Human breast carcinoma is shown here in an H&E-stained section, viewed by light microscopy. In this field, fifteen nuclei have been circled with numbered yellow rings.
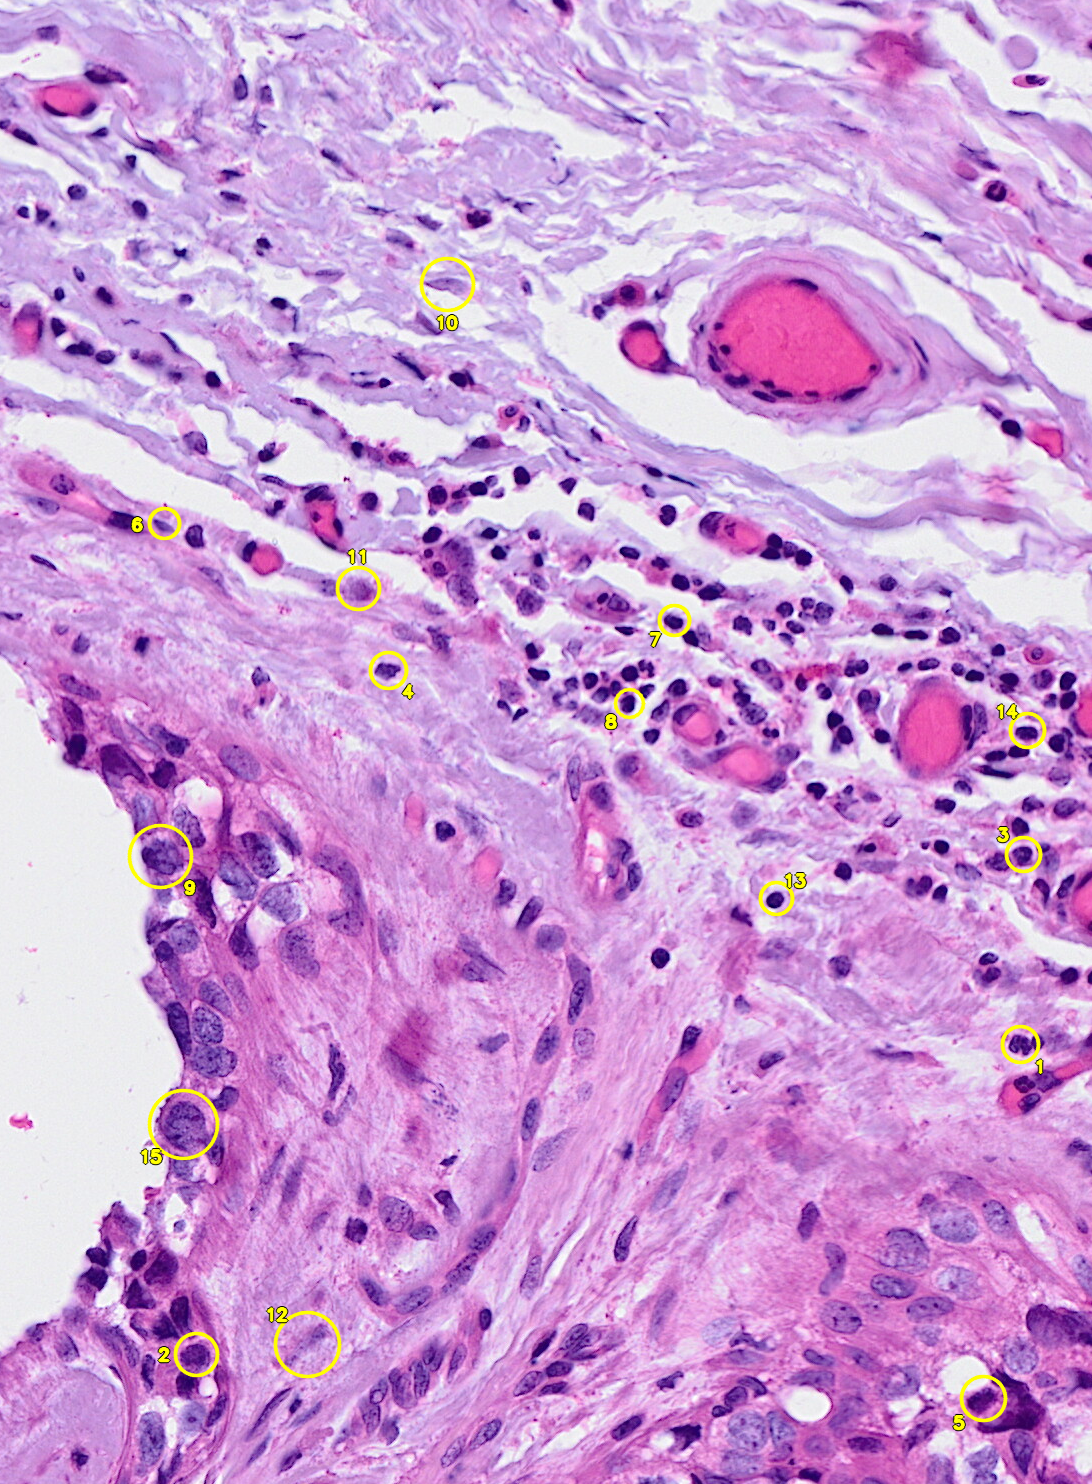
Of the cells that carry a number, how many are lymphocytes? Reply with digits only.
7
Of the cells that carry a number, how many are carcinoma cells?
4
